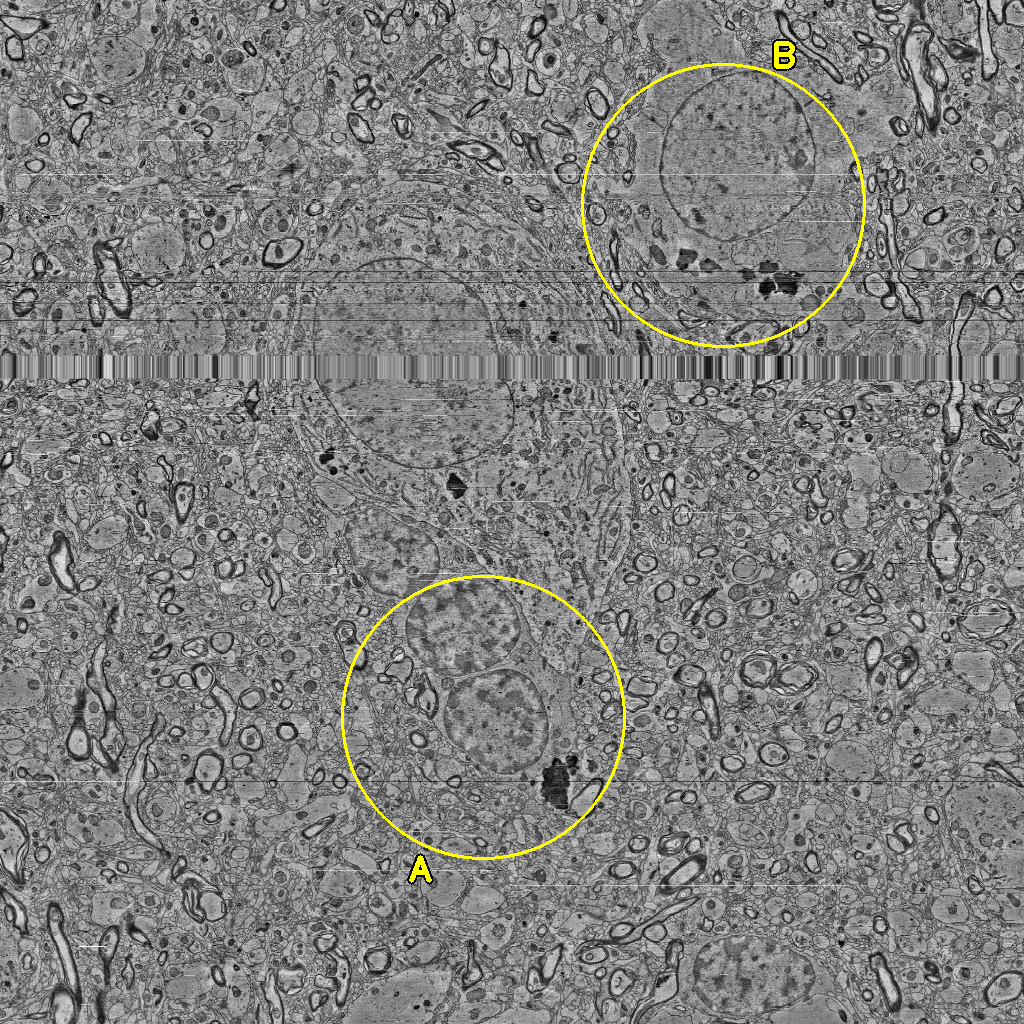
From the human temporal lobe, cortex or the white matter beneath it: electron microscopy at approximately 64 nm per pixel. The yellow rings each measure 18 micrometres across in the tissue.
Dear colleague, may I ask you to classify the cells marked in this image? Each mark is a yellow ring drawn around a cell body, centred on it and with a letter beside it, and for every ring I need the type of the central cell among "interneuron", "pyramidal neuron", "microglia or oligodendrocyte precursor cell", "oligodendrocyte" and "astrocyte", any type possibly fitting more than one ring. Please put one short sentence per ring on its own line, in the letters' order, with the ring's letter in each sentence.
Ring A contains an oligodendrocyte at its centre.
Ring B contains an astrocyte at its centre.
